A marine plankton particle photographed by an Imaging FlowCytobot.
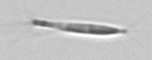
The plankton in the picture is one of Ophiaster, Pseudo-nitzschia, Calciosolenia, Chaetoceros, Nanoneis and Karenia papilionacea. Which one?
Calciosolenia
